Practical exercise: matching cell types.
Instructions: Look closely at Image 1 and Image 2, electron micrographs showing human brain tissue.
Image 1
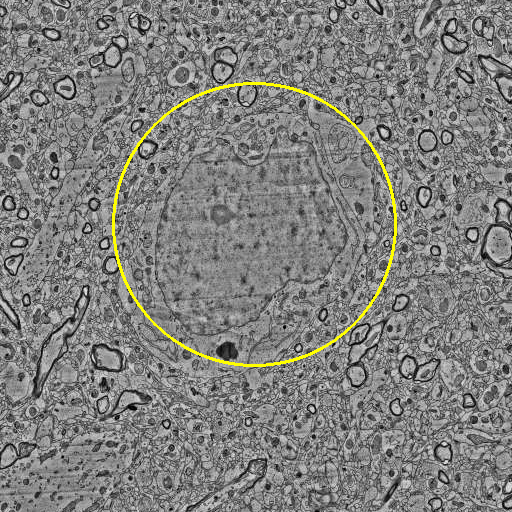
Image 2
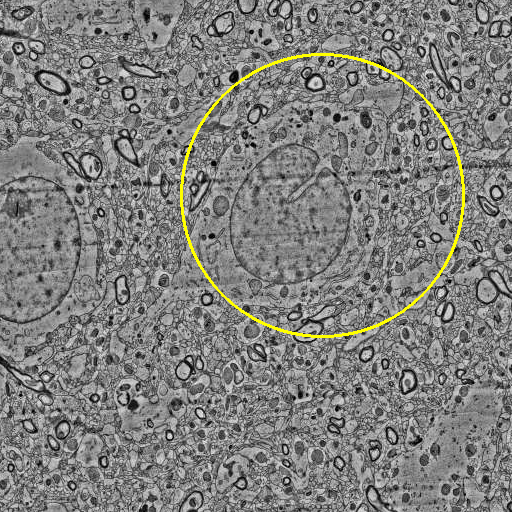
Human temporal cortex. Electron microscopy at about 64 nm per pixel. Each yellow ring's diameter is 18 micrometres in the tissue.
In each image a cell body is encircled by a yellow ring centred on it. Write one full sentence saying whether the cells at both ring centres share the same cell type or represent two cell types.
Across Image 1 and Image 2, the cells at the ring centres share the same cell type.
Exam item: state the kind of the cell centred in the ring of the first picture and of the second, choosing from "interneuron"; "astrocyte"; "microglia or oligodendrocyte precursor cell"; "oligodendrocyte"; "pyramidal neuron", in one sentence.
In both pictures the ring is centred on an interneuron.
